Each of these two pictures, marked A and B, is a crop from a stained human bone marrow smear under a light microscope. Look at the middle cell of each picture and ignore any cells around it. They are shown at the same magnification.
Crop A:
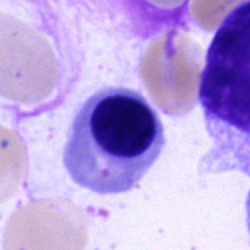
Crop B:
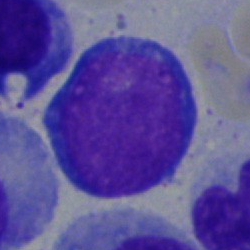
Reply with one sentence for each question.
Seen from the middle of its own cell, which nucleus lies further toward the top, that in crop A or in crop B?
Seen within its cell, the nucleus in crop A lies further toward the top.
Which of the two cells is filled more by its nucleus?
It is the cell in crop B that is filled more by its nucleus.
